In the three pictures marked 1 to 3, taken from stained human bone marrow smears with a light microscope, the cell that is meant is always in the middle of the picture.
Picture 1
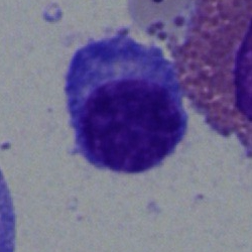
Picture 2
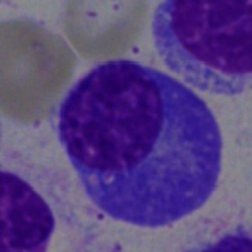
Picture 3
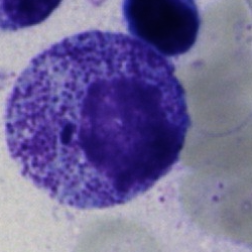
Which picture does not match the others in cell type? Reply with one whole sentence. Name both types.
All pictures except 3 show plasma cells; picture 3 shows a myelocyte.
